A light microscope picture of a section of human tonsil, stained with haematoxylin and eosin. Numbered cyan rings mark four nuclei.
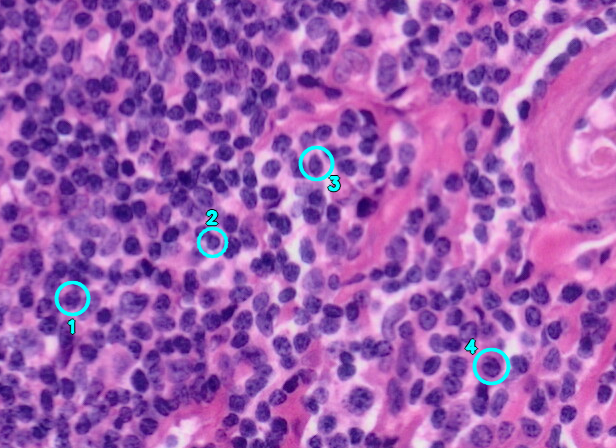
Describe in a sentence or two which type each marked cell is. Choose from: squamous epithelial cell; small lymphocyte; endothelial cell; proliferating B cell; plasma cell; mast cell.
Cells 1, 2 and 3 are small lymphocytes. Cell 4 is a plasma cell.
